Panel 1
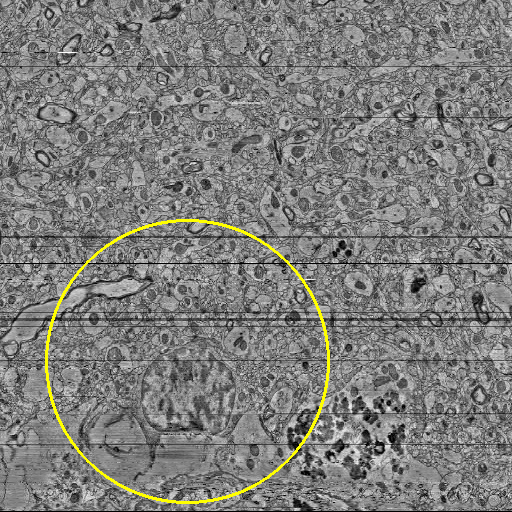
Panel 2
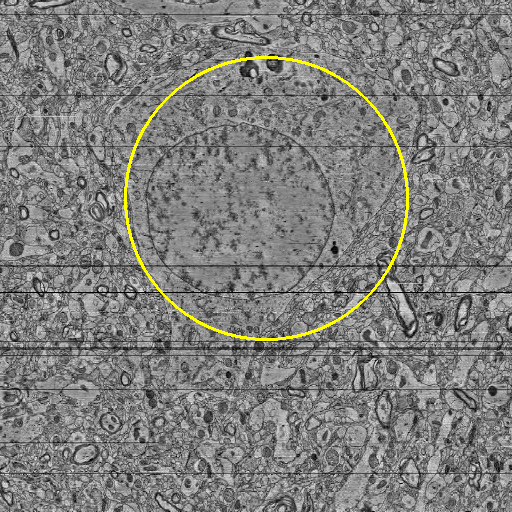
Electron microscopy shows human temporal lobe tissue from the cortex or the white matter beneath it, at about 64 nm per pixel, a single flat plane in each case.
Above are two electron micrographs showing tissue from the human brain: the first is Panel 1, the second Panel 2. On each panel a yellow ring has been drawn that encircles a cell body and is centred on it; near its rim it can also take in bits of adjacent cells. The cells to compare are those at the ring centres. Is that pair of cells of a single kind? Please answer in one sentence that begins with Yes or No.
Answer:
No, the ring-centred cells of Panel 1 and Panel 2 belong to two kinds.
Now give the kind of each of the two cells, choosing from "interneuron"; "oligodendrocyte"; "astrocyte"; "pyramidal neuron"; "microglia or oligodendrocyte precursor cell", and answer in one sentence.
The cell in the first picture is an oligodendrocyte, and the cell in the second is a pyramidal neuron.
